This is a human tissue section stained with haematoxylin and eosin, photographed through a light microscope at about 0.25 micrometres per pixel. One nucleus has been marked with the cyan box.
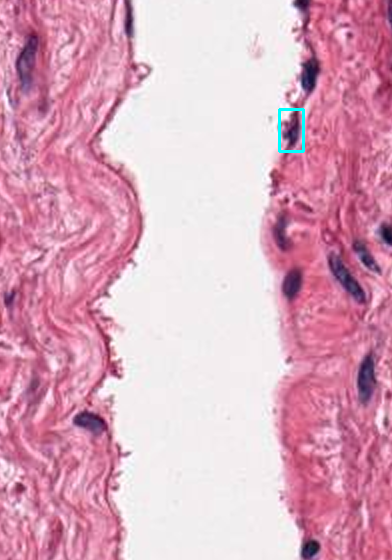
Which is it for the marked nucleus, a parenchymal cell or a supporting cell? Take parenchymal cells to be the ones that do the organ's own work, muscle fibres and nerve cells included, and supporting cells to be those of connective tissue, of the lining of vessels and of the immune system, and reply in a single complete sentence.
The marked nucleus is contained in a supporting cell.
